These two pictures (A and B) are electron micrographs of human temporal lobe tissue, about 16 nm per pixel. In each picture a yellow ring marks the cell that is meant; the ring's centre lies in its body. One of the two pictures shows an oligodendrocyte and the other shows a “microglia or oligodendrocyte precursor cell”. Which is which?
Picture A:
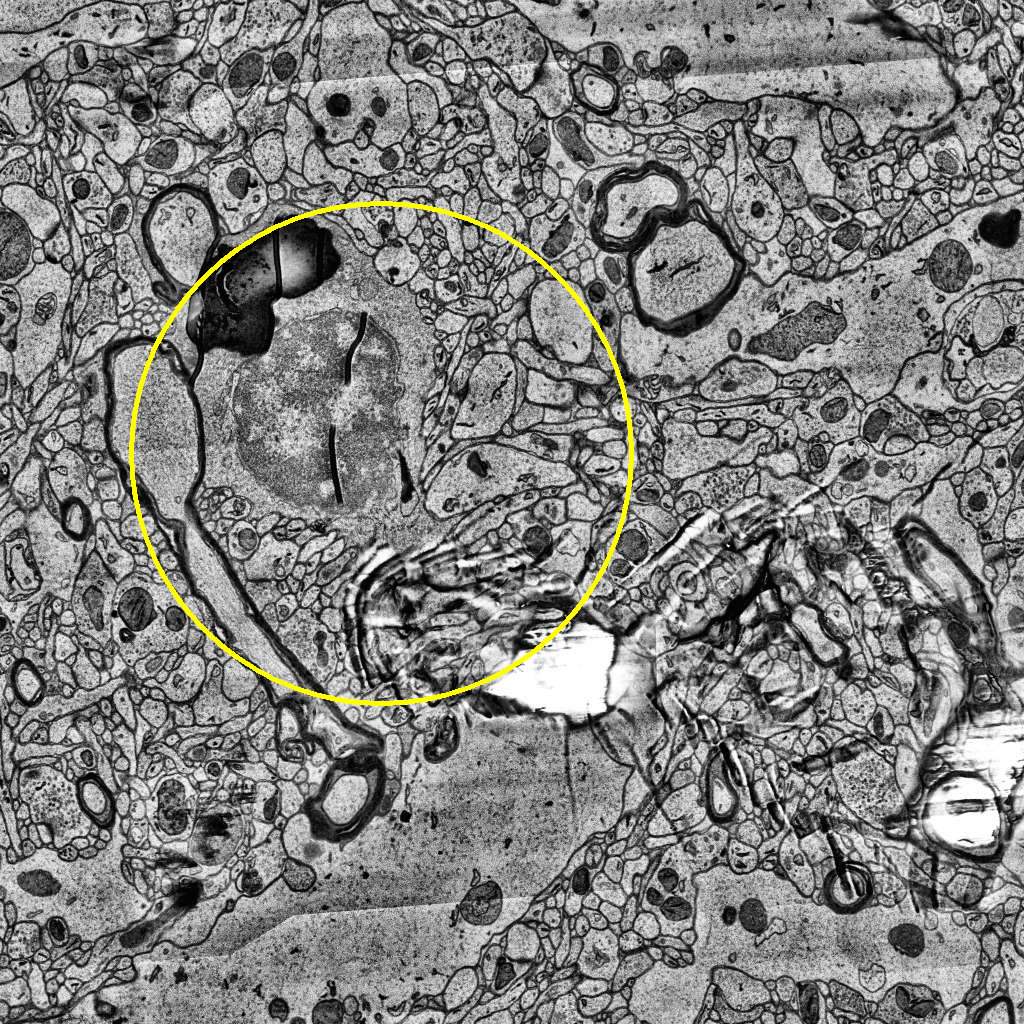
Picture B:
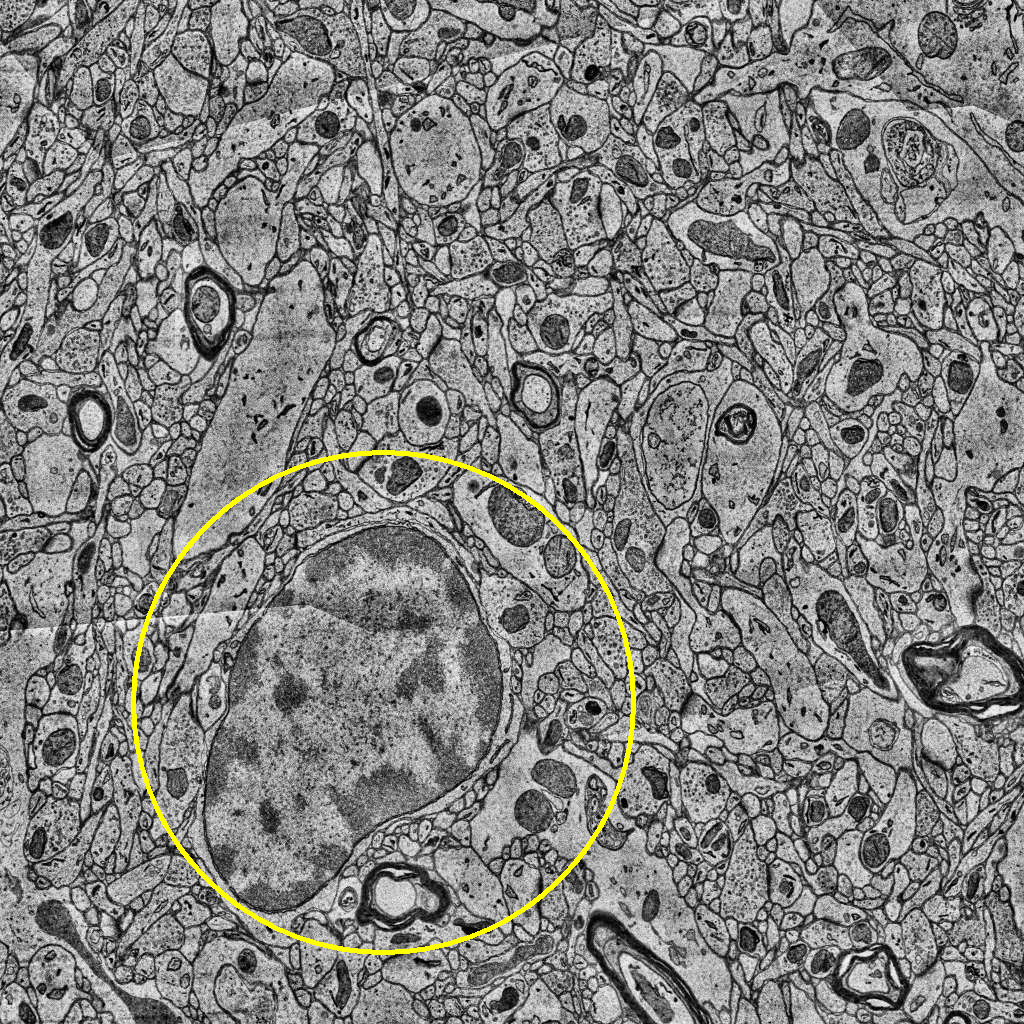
It is picture A that shows an oligodendrocyte, and picture B that shows a “microglia or oligodendrocyte precursor cell”.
